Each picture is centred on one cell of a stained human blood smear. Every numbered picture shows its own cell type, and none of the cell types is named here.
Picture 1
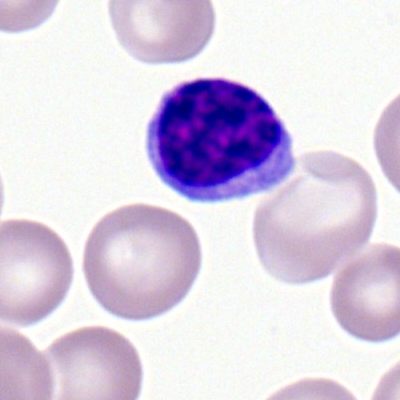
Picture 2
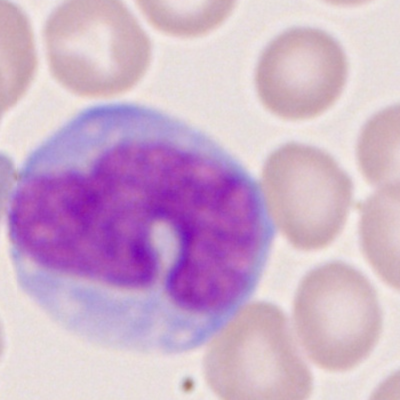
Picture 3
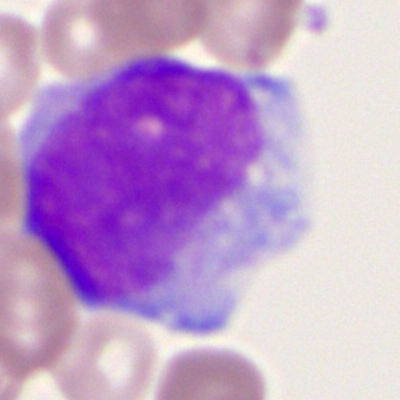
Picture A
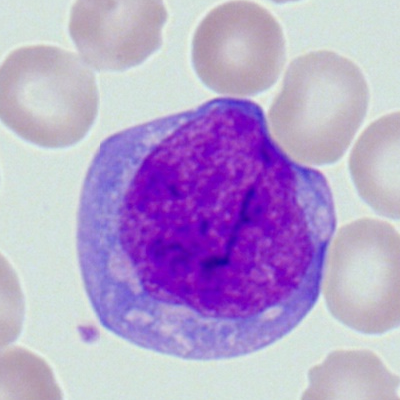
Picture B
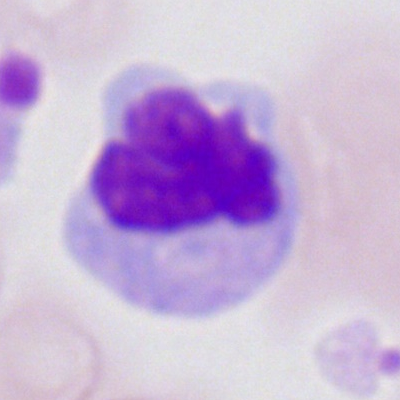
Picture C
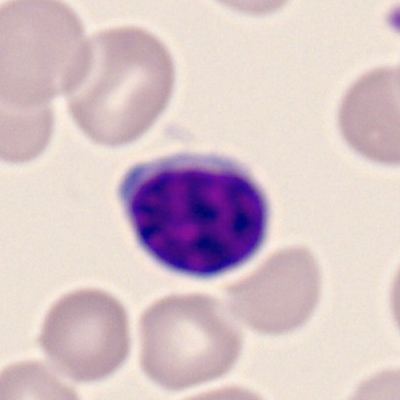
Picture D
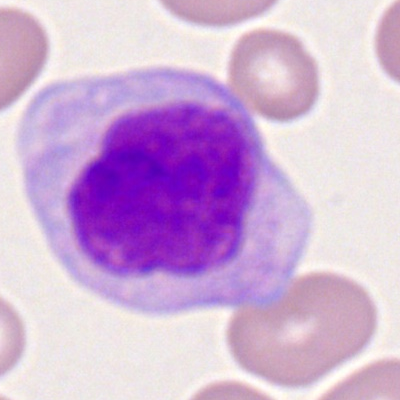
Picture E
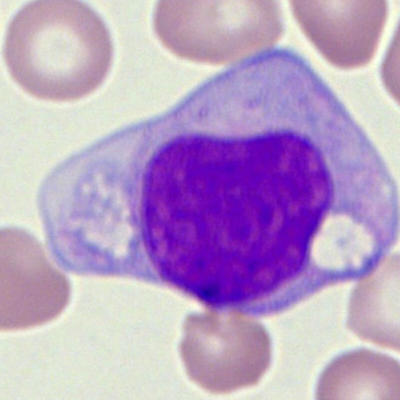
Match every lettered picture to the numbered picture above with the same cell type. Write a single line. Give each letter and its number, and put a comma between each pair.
A 3, B 2, C 1, D 2, E 2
